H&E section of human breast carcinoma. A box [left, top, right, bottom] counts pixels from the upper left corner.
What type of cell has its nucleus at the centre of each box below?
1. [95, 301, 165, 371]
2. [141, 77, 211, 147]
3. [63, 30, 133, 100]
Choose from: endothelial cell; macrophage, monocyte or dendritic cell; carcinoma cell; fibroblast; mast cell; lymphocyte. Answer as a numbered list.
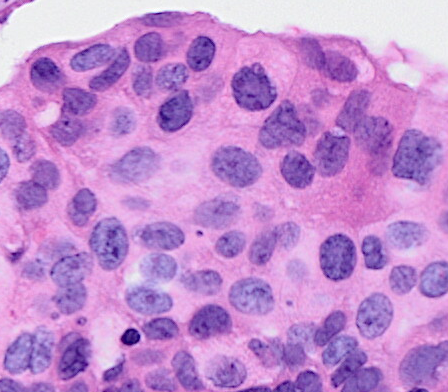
1. lymphocyte
2. carcinoma cell
3. carcinoma cell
